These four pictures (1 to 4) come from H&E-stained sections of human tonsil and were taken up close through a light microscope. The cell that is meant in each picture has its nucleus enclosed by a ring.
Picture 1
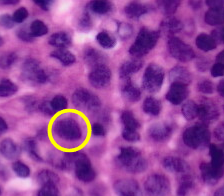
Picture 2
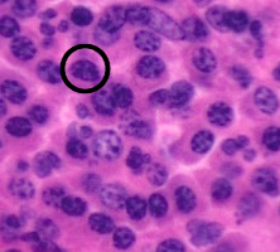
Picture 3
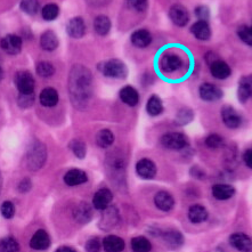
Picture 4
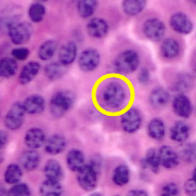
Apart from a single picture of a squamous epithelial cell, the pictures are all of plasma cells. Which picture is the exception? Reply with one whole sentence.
The cell in picture 1 is the squamous epithelial cell.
